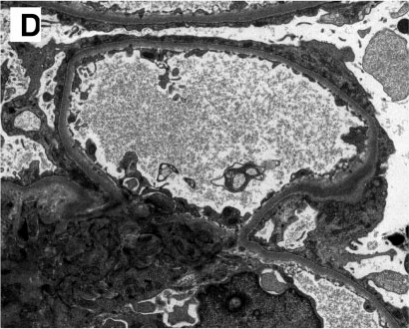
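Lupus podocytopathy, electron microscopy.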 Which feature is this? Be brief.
Glomerular capillary walls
